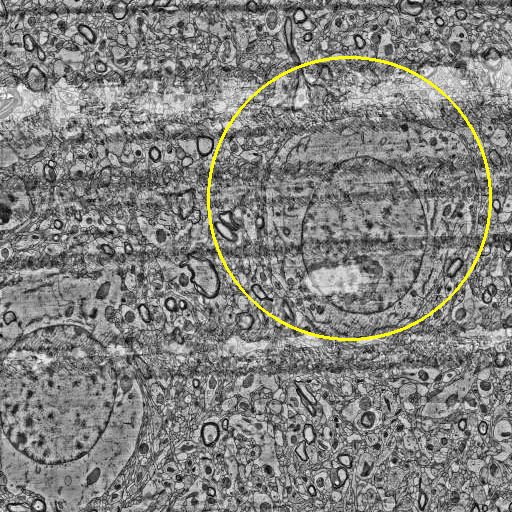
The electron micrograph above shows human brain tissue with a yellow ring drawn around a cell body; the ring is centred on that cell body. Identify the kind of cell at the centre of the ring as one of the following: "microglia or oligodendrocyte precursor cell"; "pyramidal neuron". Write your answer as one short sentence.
The cell at the centre of the ring is a pyramidal neuron.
